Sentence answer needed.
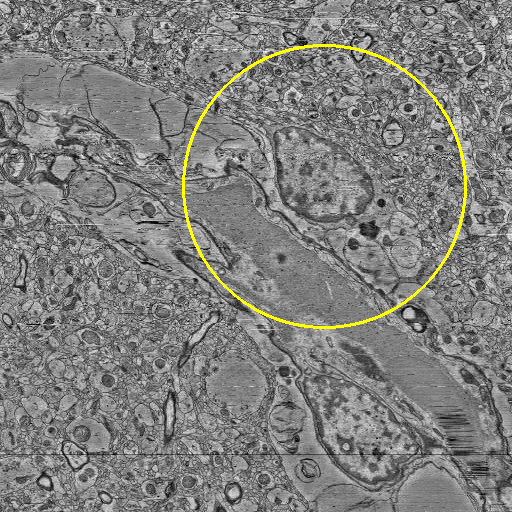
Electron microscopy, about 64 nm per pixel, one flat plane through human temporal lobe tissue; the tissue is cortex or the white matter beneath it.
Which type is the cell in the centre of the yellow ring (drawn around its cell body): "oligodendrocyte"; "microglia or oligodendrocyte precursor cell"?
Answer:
In the centre of the yellow ring is an oligodendrocyte.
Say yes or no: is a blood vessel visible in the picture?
Yes, there is one.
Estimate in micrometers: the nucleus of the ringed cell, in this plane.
Roughly 7 micrometres by 5 micrometres, in this plane.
